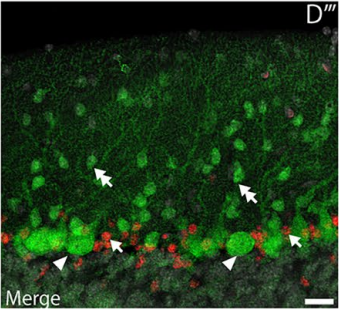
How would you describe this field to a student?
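This is cerebellar cortex in which Purkinje neurons form a row of large rounded green cell bodies at the base of the molecular layer. Smaller green cell bodies, the basket and stellate interneurons, are scattered through the molecular layer above, with fine green processes among them. Neither the Purkinje cells nor the interneurons carry red nuclei. Small red nuclei cluster in the Purkinje cell layer between the large green cell bodies. Beneath lies the granular layer of densely packed small grey nuclei.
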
